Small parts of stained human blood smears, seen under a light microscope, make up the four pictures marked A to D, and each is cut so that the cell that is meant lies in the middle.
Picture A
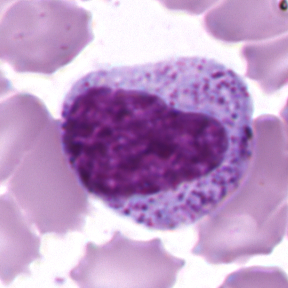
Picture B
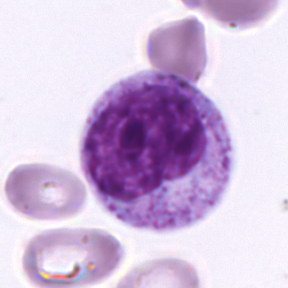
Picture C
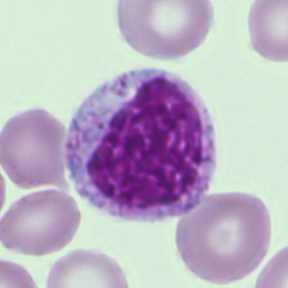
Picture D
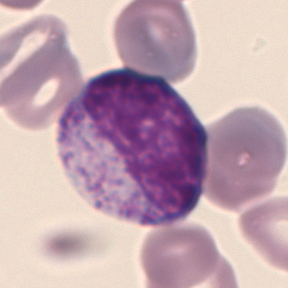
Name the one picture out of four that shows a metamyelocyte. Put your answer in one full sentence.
The picture with the metamyelocyte is B.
